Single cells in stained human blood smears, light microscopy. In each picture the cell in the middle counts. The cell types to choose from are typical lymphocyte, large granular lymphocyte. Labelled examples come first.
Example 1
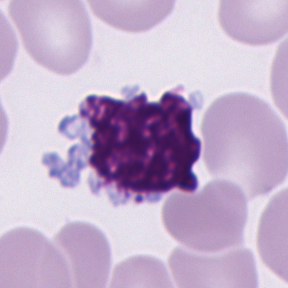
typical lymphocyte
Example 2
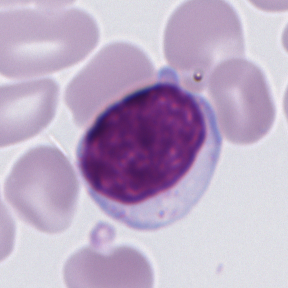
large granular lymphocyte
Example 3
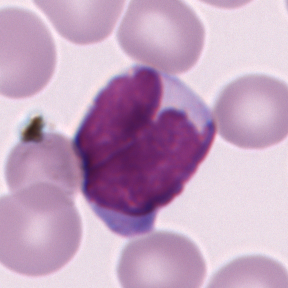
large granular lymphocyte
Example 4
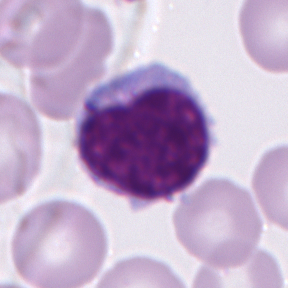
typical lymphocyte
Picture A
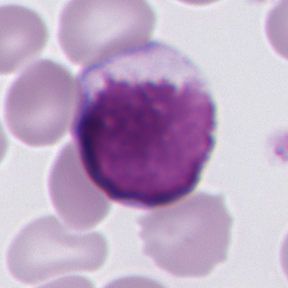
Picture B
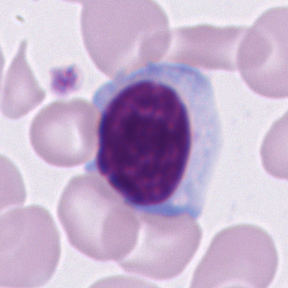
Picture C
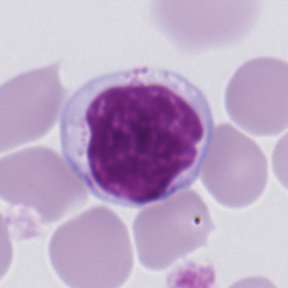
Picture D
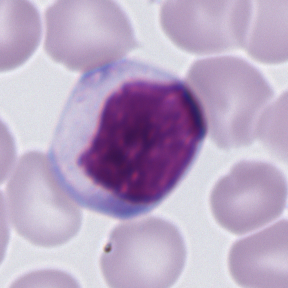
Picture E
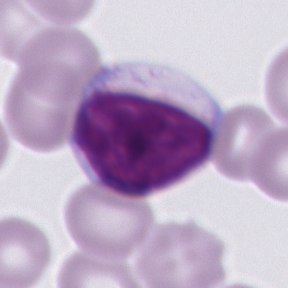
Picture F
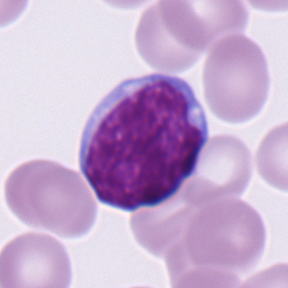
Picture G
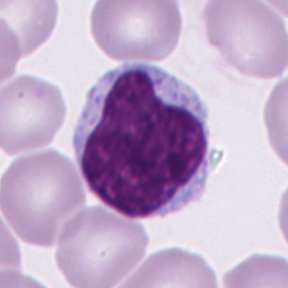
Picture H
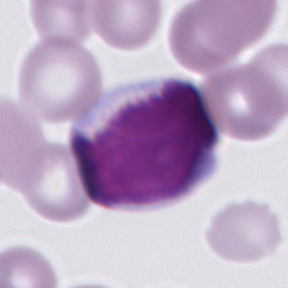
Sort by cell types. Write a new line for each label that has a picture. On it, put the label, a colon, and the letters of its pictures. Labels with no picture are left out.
typical lymphocyte: B, G
large granular lymphocyte: A, C, D, E, F, H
